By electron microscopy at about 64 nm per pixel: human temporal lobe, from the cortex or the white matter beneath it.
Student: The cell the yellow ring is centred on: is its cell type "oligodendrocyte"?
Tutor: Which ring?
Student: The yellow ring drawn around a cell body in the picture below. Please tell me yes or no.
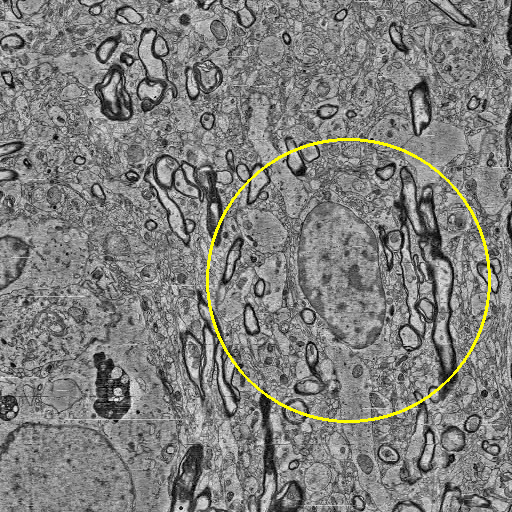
no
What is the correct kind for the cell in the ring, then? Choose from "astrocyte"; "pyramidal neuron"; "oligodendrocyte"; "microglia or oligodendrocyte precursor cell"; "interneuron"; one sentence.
That cell in the ring is a microglial cell or oligodendrocyte precursor cell instead.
